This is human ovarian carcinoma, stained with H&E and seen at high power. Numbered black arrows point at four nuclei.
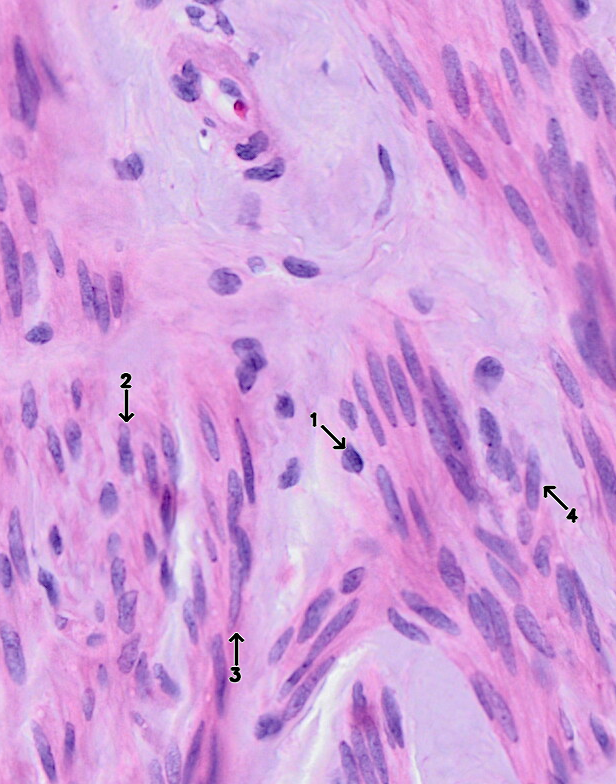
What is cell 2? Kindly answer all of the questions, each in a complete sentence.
The correct answer for cell 2 is a smooth muscle cell.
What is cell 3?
The cell pointed out as number 3 is a smooth muscle cell.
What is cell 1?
The cell given label 1 is a fibroblast.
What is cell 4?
The cell bearing label 4 corresponds to a smooth muscle cell.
